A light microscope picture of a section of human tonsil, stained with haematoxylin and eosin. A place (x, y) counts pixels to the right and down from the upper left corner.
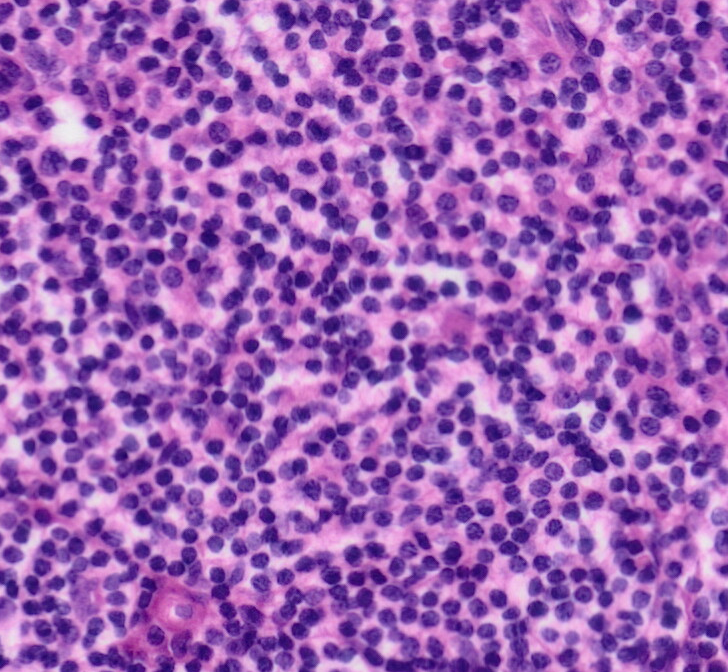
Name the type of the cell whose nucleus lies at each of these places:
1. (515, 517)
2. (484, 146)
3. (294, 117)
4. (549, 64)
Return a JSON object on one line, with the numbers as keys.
{"1": "small lymphocyte", "2": "small lymphocyte", "3": "small lymphocyte", "4": "plasma cell"}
